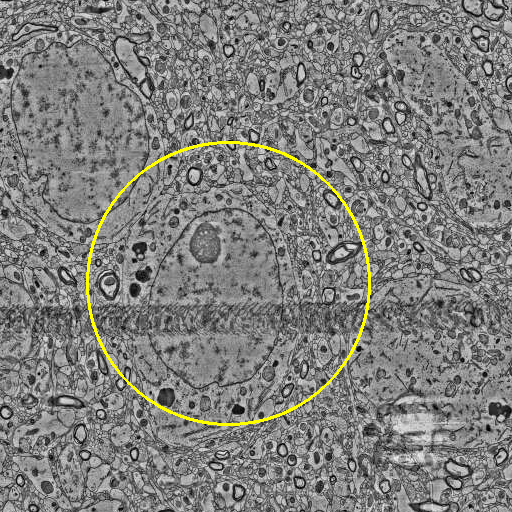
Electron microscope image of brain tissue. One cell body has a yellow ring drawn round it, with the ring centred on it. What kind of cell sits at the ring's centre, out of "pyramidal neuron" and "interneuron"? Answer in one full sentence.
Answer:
It is a pyramidal neuron whose cell body sits at the centre of the yellow ring.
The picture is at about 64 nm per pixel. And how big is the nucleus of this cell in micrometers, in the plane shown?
In this plane the nucleus measures roughly 12 by 9 micrometers.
